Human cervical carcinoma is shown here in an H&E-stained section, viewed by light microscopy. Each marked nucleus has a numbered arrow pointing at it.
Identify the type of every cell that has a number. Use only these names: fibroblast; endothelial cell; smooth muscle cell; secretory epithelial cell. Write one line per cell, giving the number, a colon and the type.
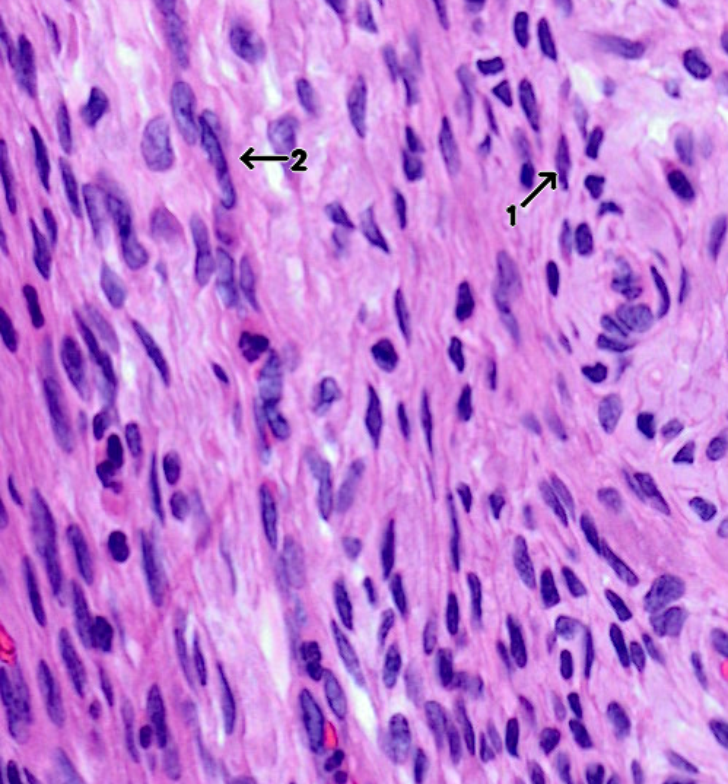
1: fibroblast
2: endothelial cell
